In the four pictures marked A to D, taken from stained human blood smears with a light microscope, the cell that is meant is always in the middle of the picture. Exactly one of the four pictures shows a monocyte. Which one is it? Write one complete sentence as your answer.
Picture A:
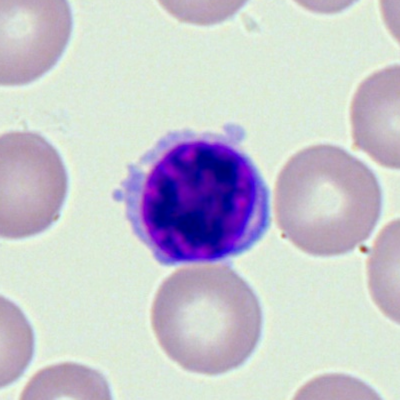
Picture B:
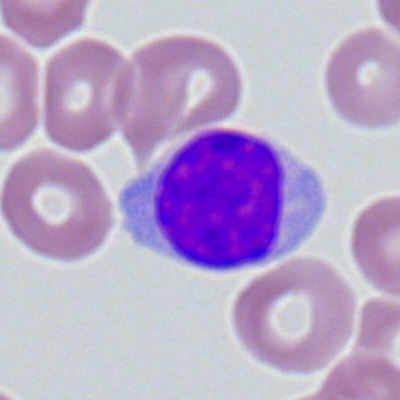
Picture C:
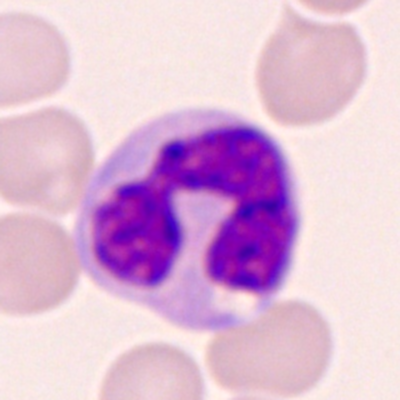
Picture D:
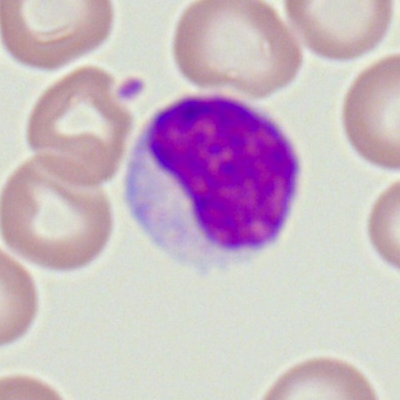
Picture C shows the monocyte.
